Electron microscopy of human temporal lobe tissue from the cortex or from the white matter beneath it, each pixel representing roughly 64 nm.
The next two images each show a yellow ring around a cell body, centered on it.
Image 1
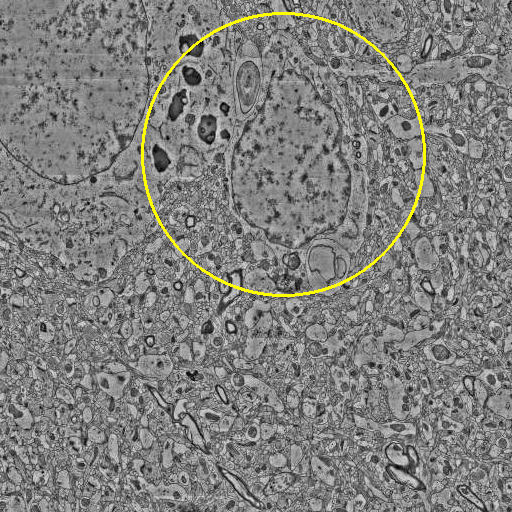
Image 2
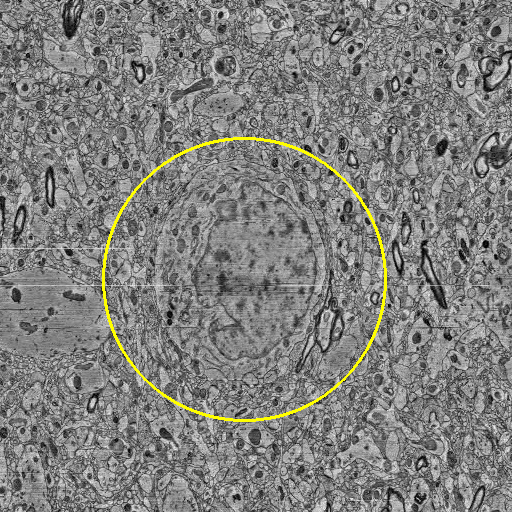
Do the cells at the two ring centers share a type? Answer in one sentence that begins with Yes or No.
Yes, across the two images the cells at the ring centers share one type.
